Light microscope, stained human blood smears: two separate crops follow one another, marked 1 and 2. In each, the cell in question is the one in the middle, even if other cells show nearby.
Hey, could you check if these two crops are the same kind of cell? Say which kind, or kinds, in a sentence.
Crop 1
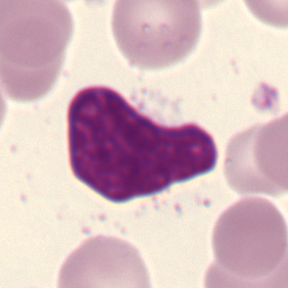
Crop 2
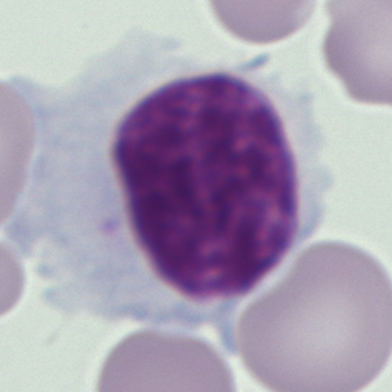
No, a hairy cell is in crop 2, and a smudge cell is in crop 1.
